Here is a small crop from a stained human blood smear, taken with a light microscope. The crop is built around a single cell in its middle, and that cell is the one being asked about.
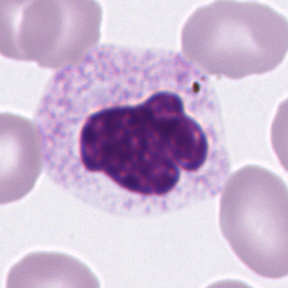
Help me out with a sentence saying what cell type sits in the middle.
The cell in the middle of the field of view is a segmented neutrophil.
